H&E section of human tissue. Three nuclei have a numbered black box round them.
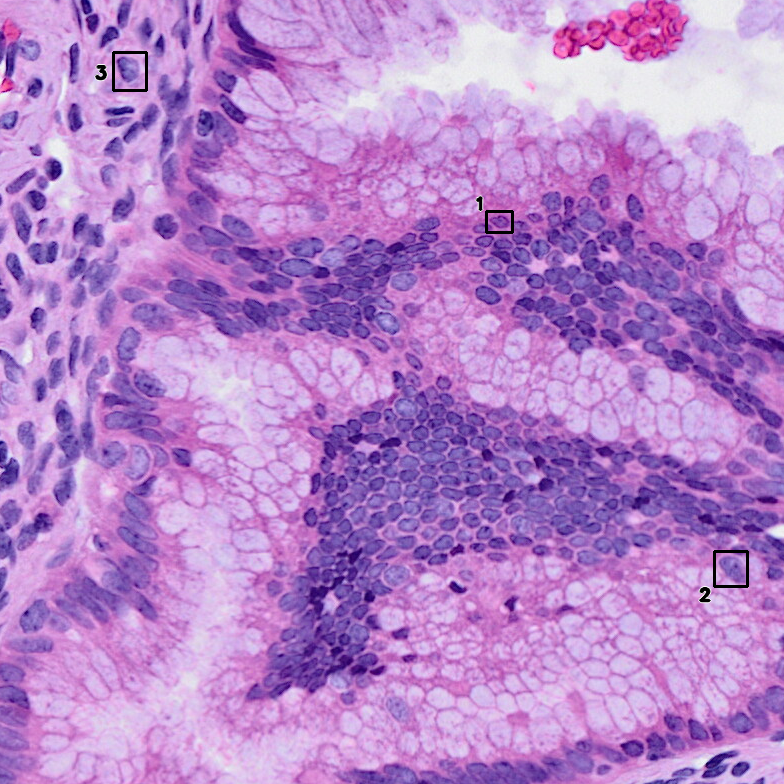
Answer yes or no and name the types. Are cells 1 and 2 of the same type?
Yes, regarding cells 1 and 2, both are secretory epithelial cells.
